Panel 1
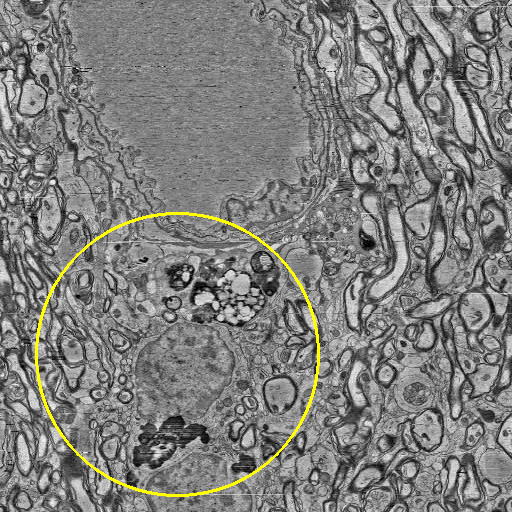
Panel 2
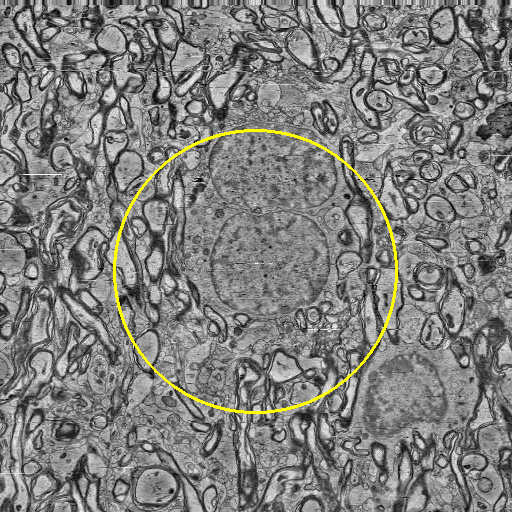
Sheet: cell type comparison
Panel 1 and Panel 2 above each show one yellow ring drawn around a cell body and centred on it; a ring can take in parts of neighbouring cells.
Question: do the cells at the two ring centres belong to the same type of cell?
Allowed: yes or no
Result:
yes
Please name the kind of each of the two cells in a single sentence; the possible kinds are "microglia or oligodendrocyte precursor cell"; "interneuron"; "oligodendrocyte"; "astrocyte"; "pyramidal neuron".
Both the first and the second picture show an oligodendrocyte in the ring.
